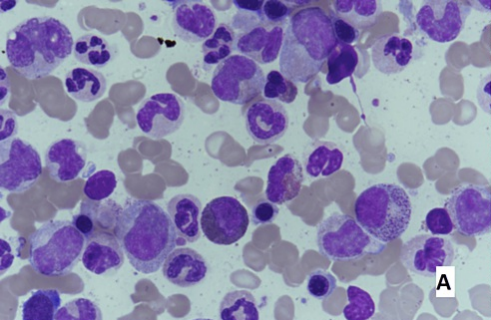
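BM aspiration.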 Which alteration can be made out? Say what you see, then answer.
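Myeloid hyperplasia. Nearly all nucleated cells are granulocytic cells at several stages of maturation. Many cells have a round to oval nucleus and granular cytoplasm. Segmented and band-shaped neutrophils lie among the larger precursors.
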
